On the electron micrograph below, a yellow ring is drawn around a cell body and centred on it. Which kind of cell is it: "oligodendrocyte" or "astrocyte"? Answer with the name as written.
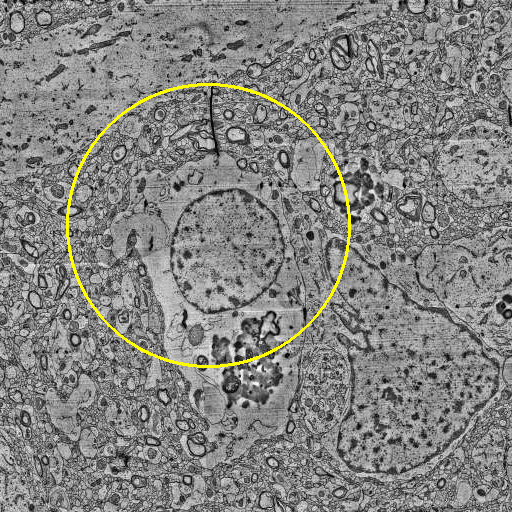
astrocyte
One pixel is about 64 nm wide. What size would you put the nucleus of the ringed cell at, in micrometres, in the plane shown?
In this plane the nucleus measures roughly 8 micrometres across.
